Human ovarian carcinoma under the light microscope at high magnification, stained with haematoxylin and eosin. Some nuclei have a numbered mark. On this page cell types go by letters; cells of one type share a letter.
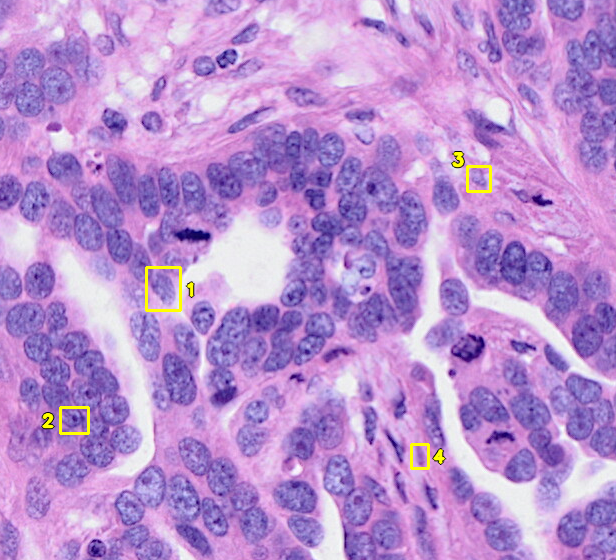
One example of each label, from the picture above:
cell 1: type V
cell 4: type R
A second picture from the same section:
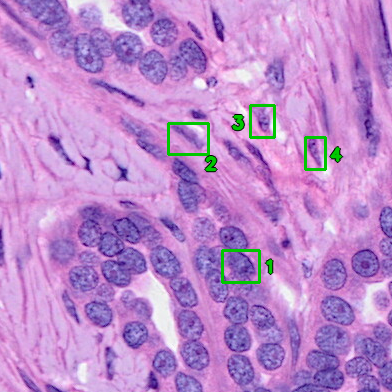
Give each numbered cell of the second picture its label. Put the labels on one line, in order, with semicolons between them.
type V; type R; type R; type R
